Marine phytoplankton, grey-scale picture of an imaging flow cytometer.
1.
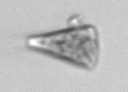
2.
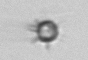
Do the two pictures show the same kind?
No: Licmophora, then Rhabdosphaera.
